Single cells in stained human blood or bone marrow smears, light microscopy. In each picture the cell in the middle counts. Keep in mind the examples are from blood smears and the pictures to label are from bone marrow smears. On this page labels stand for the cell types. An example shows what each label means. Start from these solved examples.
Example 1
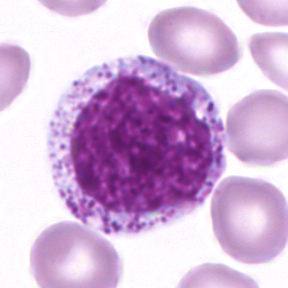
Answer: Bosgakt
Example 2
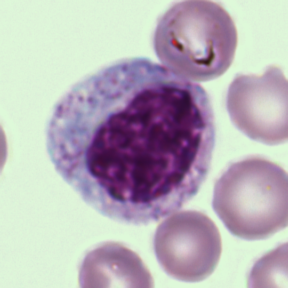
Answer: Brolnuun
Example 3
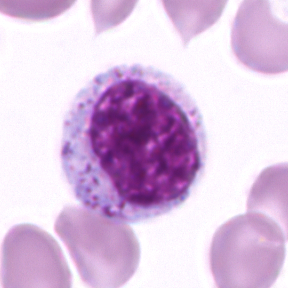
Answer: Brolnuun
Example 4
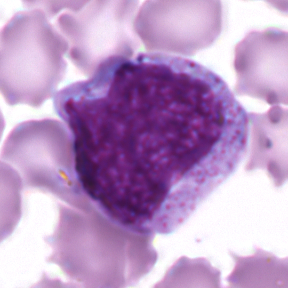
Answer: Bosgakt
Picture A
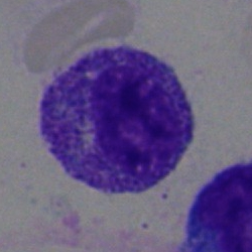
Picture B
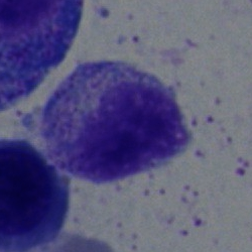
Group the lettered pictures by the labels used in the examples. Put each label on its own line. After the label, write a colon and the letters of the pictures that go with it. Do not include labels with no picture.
Bosgakt: A, B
